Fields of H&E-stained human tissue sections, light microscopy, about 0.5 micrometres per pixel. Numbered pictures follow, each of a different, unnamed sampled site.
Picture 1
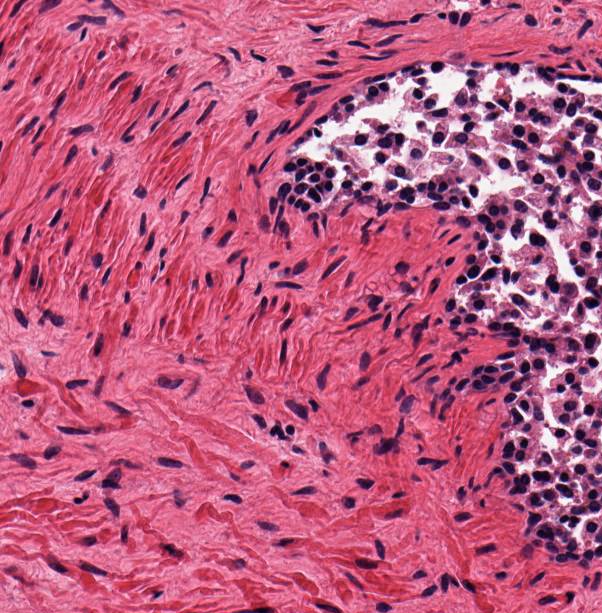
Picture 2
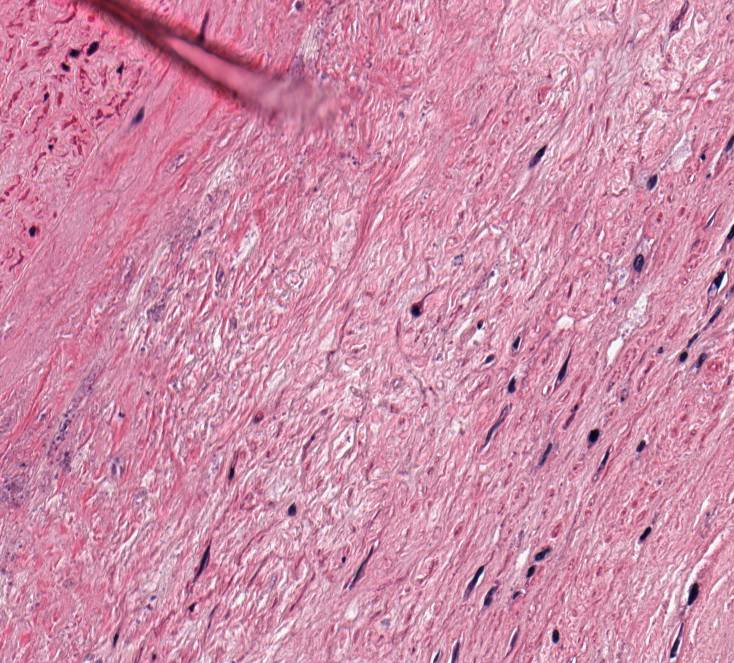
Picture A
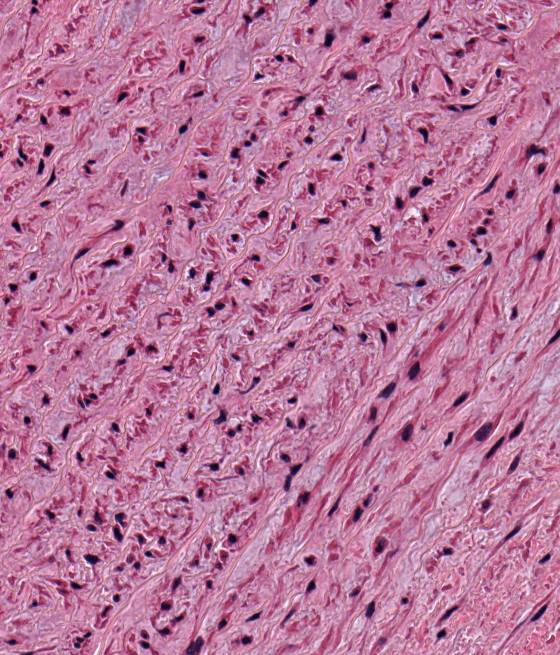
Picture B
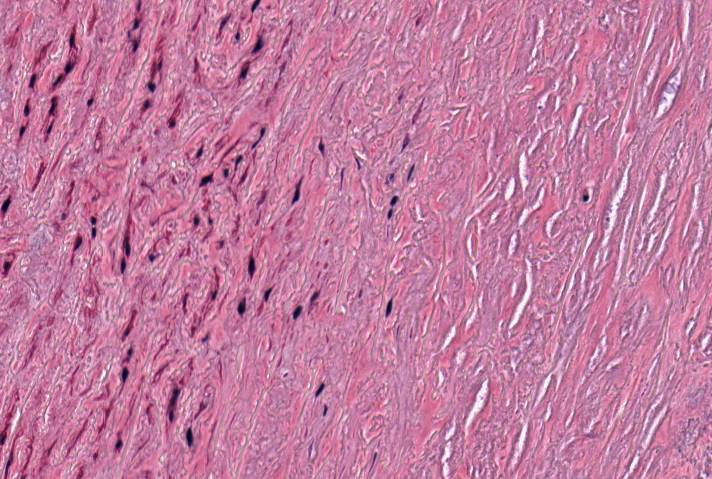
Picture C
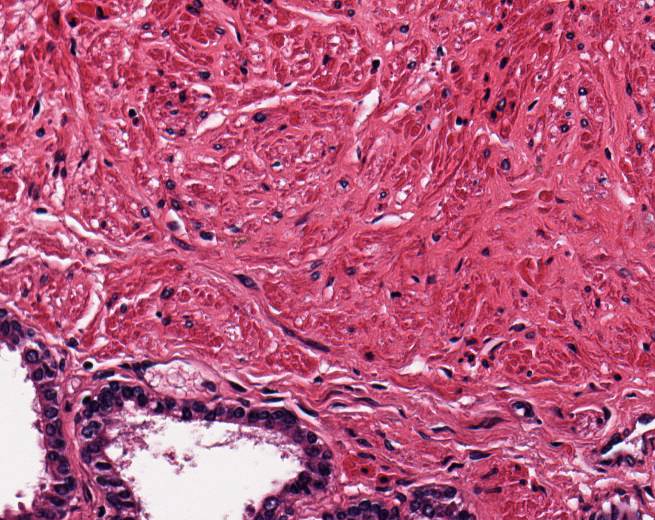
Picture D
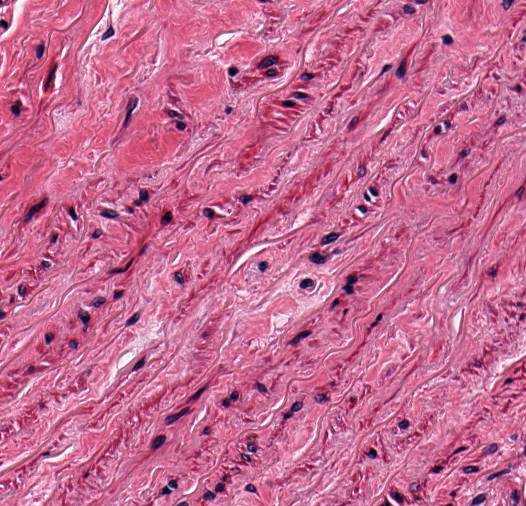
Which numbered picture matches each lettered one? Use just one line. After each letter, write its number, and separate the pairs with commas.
A 2, B 2, C 1, D 2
